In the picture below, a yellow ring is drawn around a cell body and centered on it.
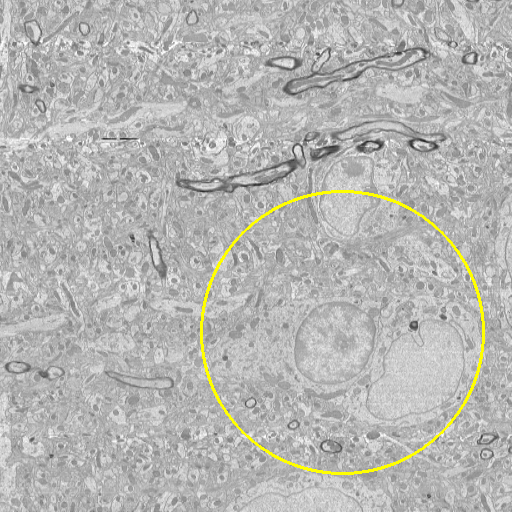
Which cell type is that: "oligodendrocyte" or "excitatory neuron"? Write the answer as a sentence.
The cell centered in the ring is an oligodendrocyte.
